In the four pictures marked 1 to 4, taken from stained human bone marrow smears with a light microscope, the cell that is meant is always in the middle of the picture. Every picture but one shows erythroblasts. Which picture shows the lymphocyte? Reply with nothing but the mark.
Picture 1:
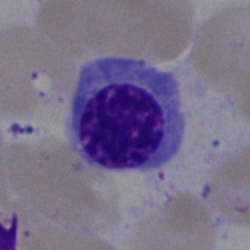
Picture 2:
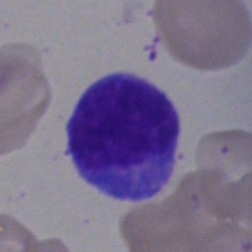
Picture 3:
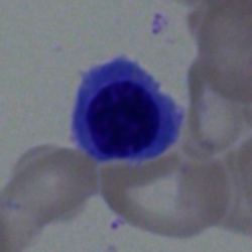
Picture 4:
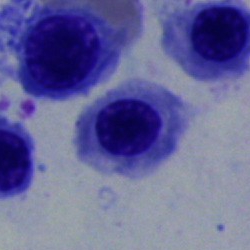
2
